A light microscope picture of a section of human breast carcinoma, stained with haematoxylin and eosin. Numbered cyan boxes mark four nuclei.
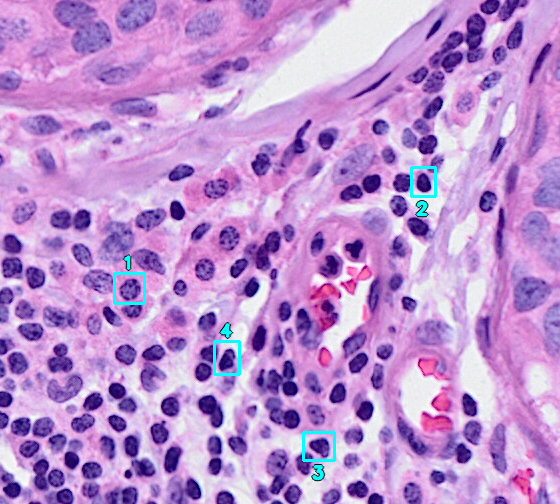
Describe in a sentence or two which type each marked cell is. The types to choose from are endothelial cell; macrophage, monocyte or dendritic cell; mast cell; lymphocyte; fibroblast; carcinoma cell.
Cell 1 is a mast cell, cell 2 is a lymphocyte, cell 3 is a lymphocyte and cell 4 is a lymphocyte.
